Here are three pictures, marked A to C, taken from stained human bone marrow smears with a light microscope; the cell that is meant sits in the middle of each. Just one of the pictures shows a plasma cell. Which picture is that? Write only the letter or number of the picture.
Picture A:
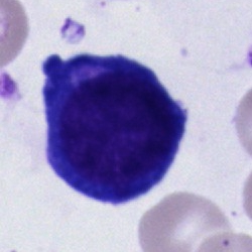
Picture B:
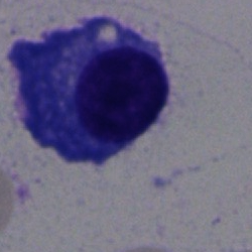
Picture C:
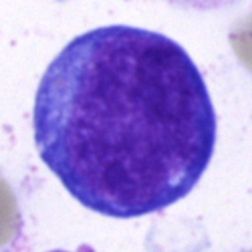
B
